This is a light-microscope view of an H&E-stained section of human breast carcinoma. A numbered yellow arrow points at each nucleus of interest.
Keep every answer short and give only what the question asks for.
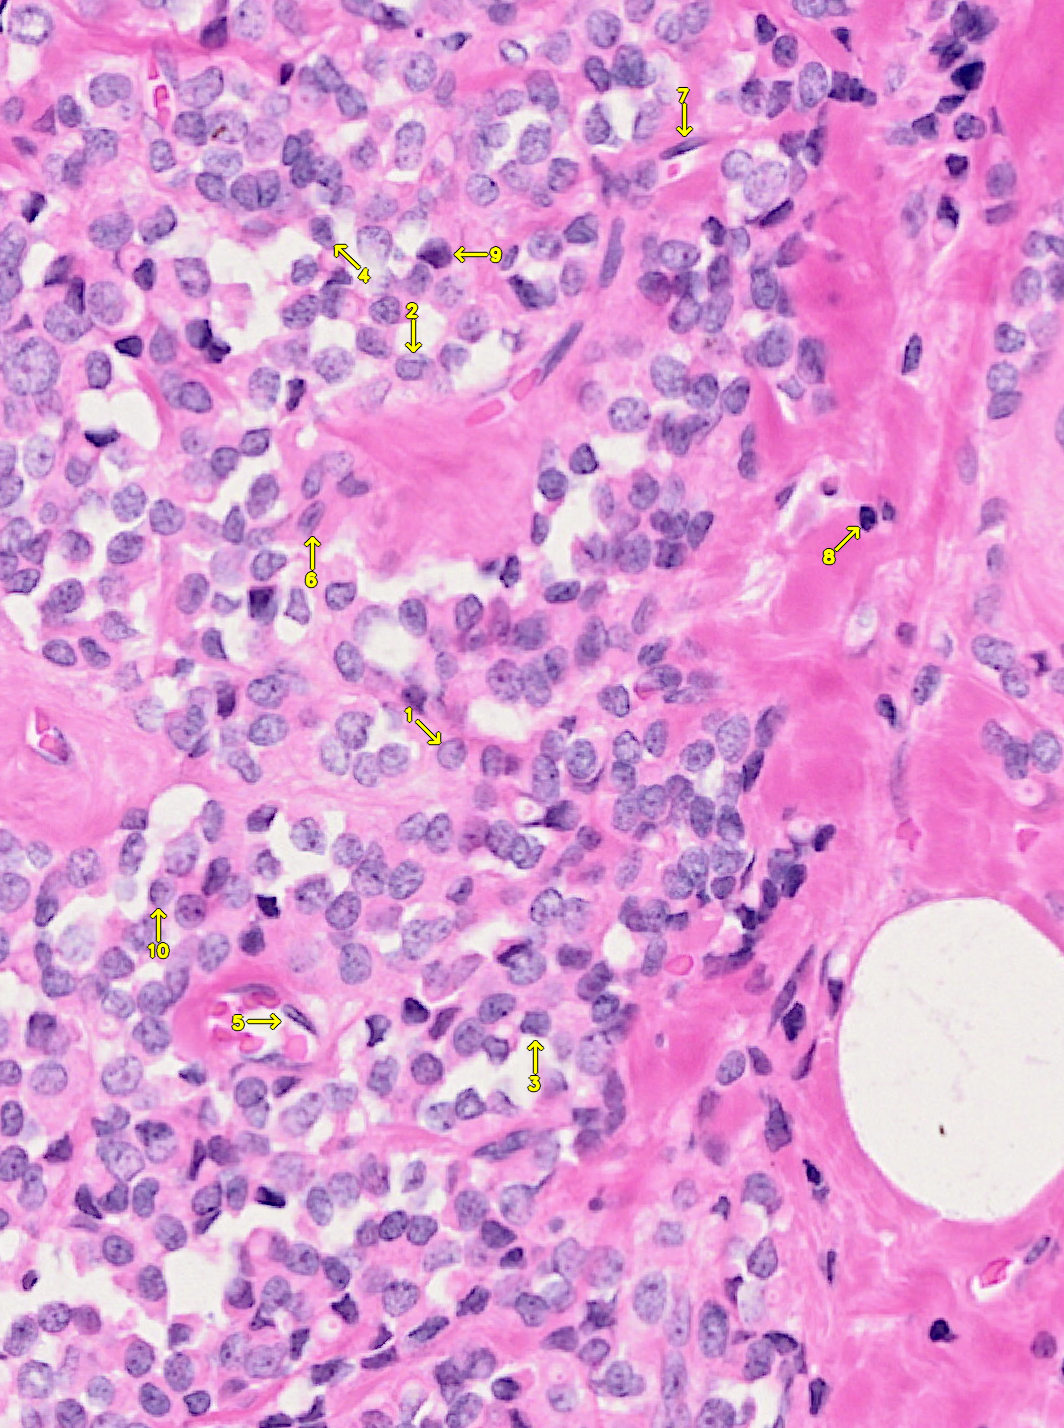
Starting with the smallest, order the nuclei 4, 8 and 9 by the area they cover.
8, 4, 9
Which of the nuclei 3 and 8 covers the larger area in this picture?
3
